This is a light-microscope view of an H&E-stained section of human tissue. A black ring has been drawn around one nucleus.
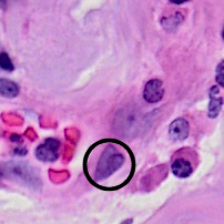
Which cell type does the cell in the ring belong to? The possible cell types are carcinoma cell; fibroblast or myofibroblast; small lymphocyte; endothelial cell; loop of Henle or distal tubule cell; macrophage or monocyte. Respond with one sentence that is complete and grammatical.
Histopathologically, the cell in the ring is an endothelial cell.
